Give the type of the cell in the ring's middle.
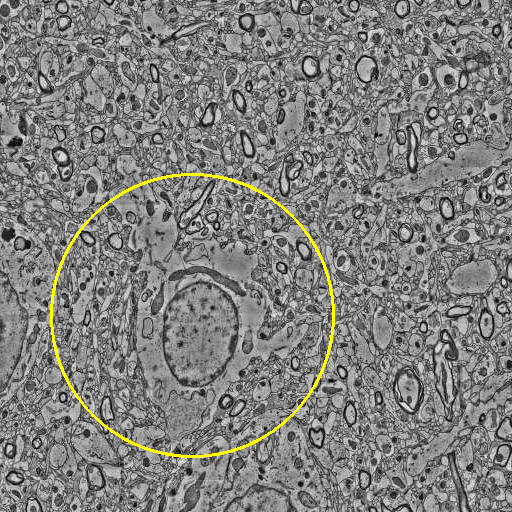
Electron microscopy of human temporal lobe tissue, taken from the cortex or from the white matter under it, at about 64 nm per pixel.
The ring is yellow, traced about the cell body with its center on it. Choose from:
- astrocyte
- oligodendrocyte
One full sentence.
Here, an astrocyte is the cell lying at the center of the yellow ring.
